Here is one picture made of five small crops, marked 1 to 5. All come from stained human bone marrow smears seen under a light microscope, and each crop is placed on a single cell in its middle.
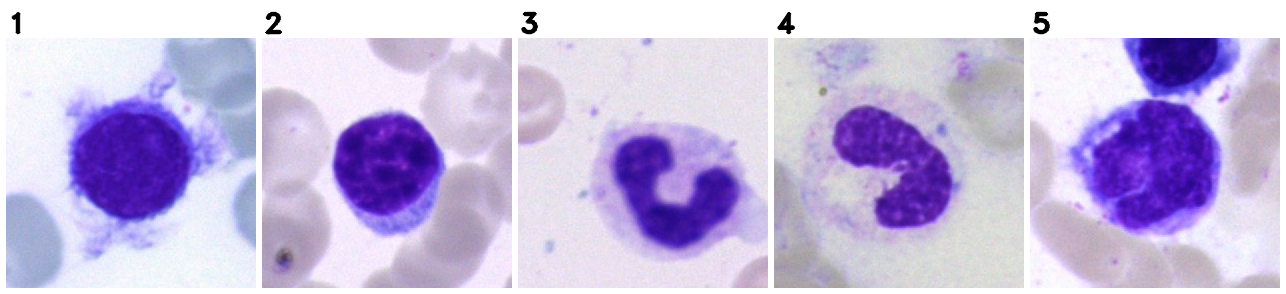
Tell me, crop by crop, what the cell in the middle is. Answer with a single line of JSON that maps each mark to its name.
{"1": "hairy cell", "2": "lymphocyte", "3": "band neutrophil", "4": "band neutrophil", "5": "monocyte"}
